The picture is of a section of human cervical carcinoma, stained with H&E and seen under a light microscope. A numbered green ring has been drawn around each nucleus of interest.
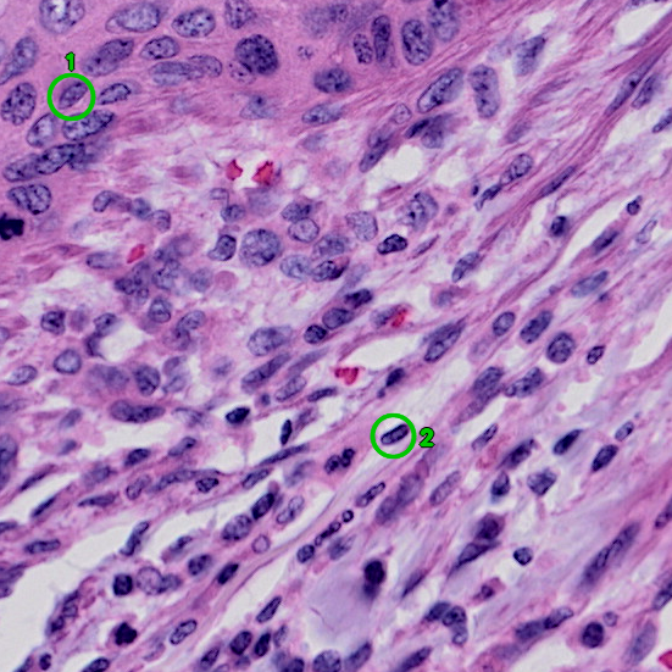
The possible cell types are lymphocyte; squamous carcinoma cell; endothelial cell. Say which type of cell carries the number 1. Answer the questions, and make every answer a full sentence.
Denoted by the label 1 in the section is a squamous carcinoma cell.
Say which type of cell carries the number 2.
The cell marked with the number 2 is a lymphocyte.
